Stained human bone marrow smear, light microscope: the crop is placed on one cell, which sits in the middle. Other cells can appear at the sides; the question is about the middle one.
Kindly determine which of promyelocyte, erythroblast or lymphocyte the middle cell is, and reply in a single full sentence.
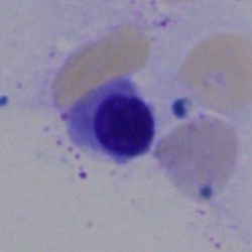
Within this crop, an erythroblast occupies the central position.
